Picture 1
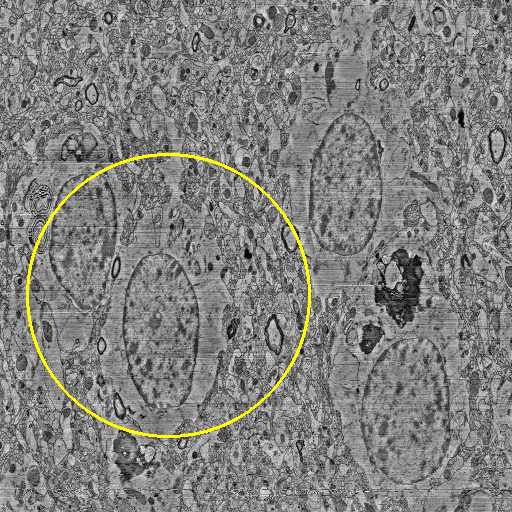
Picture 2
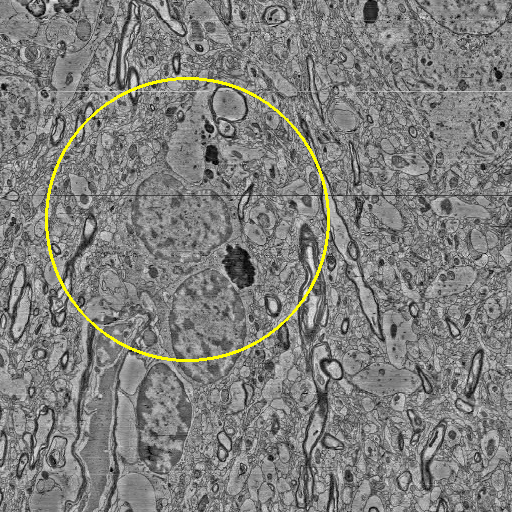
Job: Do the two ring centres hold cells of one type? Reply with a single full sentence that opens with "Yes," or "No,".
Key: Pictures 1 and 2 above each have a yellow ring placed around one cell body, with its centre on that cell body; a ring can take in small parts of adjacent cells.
No, the cells at the two ring centres are of two separate types.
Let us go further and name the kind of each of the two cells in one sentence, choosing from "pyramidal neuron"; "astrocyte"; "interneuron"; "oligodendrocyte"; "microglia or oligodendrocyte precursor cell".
The ring of the first picture is on an astrocyte, the ring of the second on an oligodendrocyte.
